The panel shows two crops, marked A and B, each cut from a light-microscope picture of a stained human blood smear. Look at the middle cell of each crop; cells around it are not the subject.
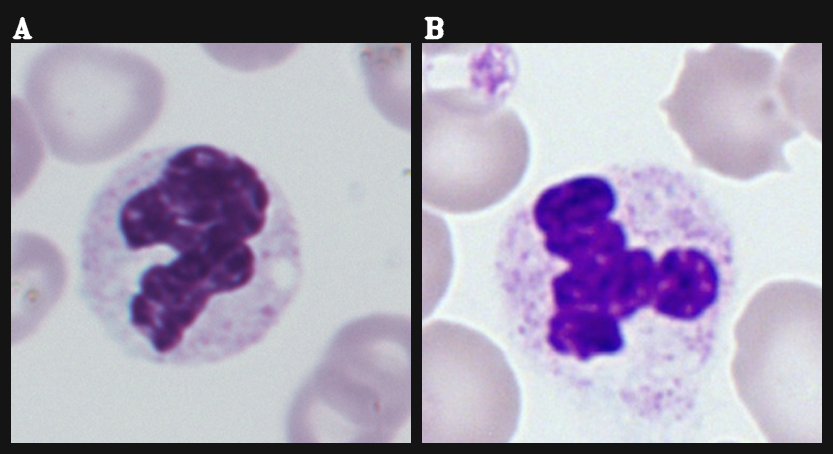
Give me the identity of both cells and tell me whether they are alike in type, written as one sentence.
Yes, it is neutrophils that occupy the middle of both crops.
